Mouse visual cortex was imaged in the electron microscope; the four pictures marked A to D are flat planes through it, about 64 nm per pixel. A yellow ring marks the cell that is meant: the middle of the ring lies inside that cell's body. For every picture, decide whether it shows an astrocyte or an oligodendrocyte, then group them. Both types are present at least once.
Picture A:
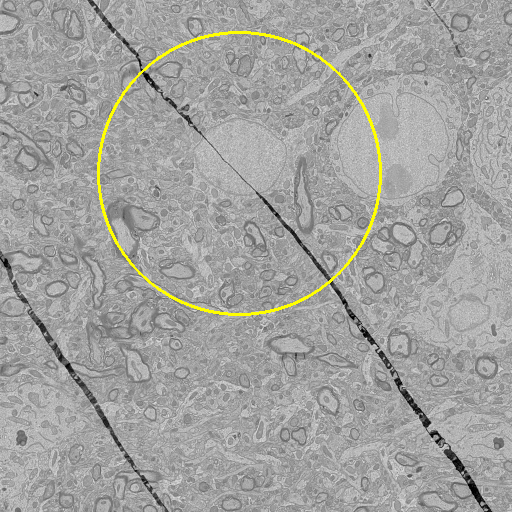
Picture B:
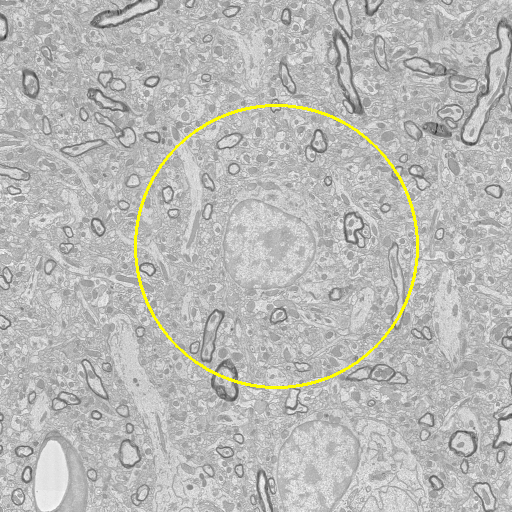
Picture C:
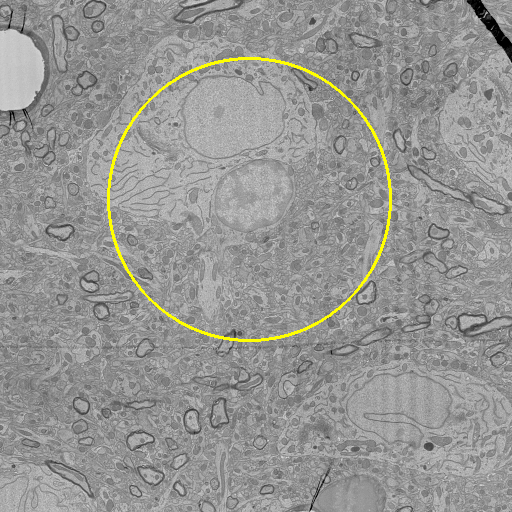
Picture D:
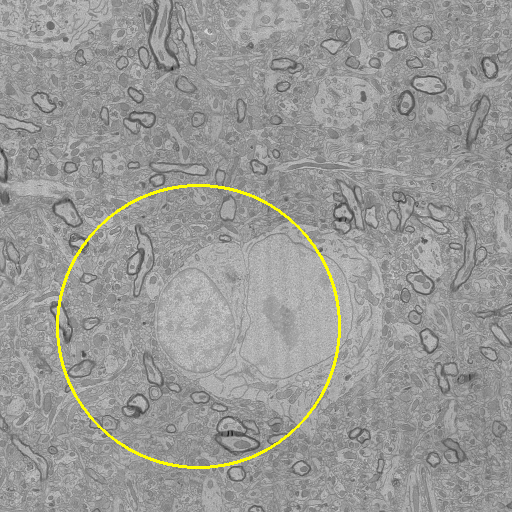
Picture A shows an astrocyte, and pictures B, C and D show oligodendrocytes.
